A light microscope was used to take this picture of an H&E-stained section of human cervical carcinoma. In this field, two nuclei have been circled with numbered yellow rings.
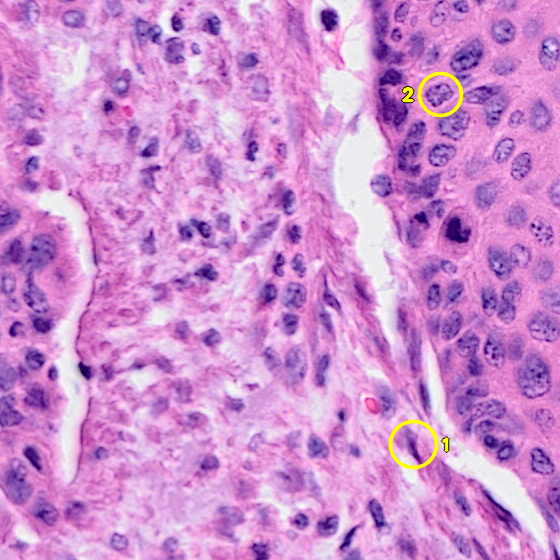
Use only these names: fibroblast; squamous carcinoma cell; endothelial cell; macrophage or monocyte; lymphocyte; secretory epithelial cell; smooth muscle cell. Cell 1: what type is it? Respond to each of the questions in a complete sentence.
Among the marked nuclei, number 1 belongs to a fibroblast.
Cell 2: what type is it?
The cell marked with the number 2 is a squamous carcinoma cell.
